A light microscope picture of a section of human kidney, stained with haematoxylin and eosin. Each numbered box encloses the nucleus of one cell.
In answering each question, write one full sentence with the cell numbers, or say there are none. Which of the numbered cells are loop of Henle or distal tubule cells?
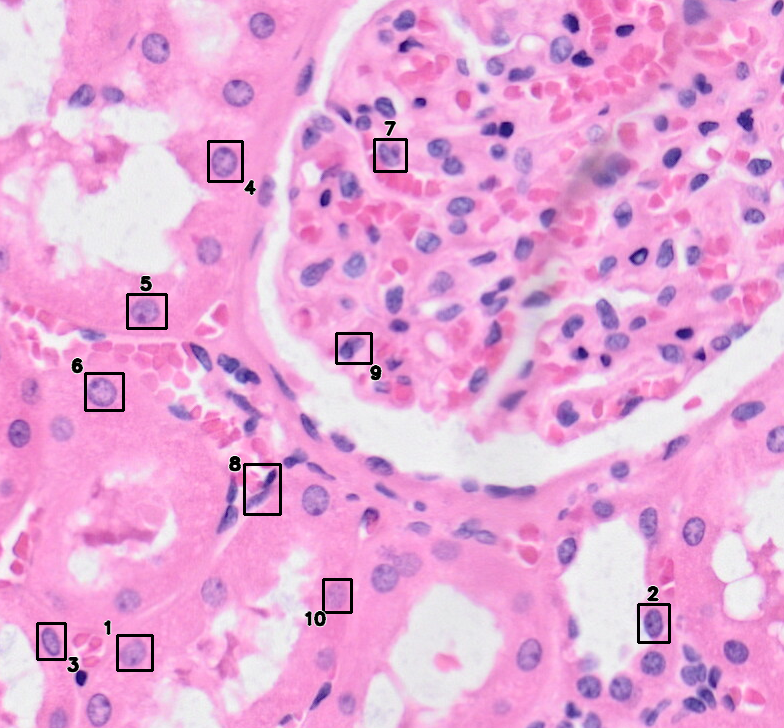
Of all the numbered cells, only cell 2 is a loop of Henle or distal tubule cell.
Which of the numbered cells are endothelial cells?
Identified as endothelial cells are the cells numbered 7, 8 and 9.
